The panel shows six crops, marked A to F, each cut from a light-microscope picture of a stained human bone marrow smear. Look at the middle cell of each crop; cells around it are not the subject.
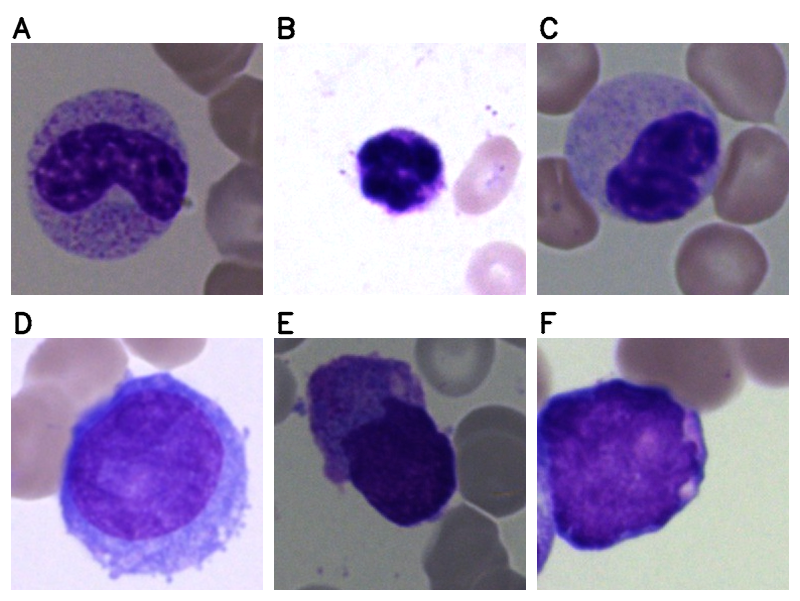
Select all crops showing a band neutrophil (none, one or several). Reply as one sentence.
Here, the cells at the centre of crops A and C are band neutrophils.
